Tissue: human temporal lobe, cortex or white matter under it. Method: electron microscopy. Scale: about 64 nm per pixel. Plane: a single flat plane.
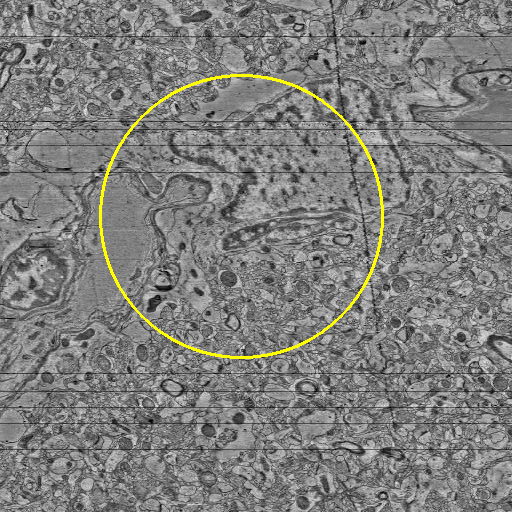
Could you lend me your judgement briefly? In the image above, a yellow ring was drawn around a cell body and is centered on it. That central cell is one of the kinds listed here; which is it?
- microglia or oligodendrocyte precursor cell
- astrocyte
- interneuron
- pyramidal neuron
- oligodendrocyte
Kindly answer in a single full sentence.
Going by the list, a microglial cell or oligodendrocyte precursor cell is the kind at the ring's center in the picture.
